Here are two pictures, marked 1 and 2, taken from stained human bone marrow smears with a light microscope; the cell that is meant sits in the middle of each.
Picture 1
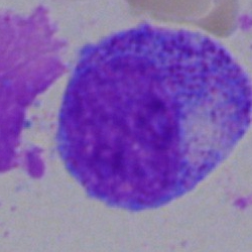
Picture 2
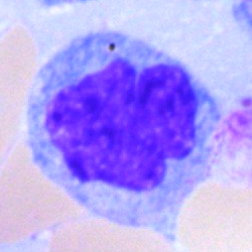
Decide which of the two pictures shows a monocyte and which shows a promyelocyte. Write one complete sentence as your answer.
It is picture 1 that shows a promyelocyte, and picture 2 that shows a monocyte.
